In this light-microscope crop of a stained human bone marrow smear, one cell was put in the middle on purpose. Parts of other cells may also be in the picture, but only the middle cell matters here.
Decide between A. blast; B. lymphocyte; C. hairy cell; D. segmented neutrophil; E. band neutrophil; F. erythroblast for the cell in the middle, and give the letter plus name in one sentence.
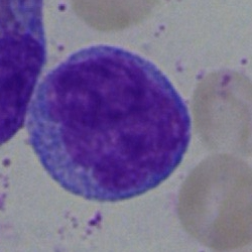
What sits in the middle of the crop is a blast, and option A is correct.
